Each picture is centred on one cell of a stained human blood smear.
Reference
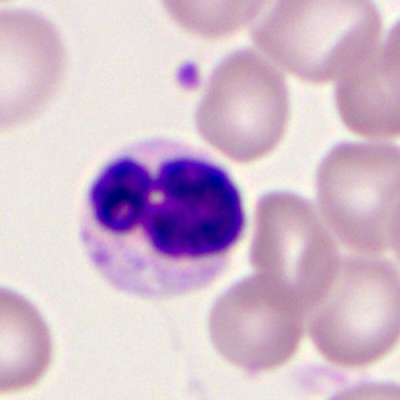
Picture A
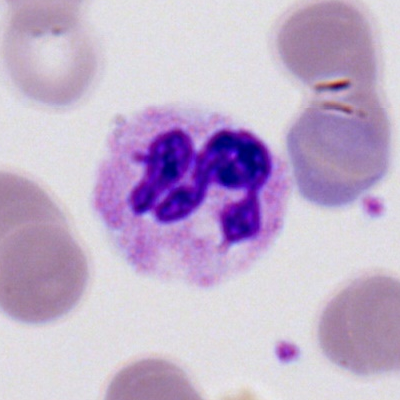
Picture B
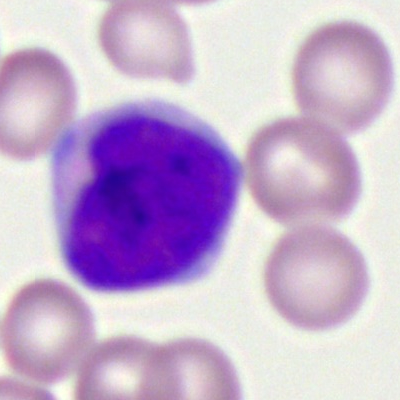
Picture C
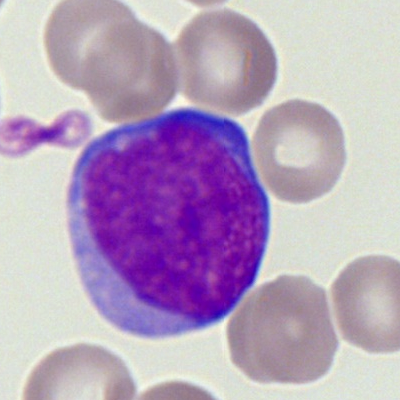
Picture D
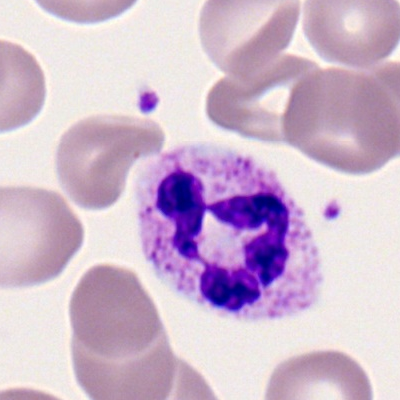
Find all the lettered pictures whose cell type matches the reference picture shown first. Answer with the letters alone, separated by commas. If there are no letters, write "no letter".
A, D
